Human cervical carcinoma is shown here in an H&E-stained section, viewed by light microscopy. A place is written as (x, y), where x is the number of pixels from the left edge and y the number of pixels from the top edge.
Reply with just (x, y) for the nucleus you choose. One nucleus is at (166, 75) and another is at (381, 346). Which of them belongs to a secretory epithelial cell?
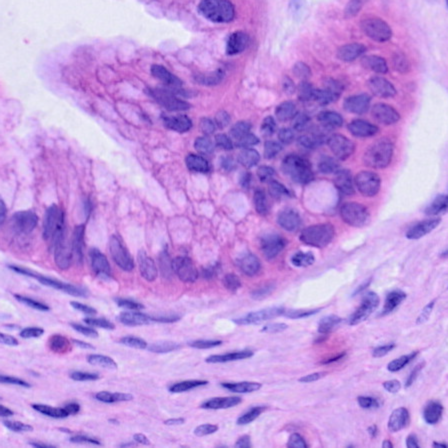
(166, 75)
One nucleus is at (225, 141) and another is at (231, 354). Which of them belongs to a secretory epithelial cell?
(225, 141)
